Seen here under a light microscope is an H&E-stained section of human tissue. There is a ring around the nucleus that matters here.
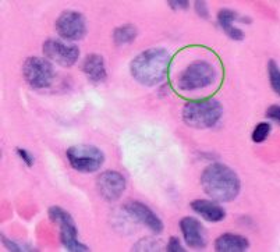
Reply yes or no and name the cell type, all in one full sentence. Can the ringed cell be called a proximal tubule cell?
No, that is wrong: the ringed cell is a collecting duct cell, not a proximal tubule cell.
